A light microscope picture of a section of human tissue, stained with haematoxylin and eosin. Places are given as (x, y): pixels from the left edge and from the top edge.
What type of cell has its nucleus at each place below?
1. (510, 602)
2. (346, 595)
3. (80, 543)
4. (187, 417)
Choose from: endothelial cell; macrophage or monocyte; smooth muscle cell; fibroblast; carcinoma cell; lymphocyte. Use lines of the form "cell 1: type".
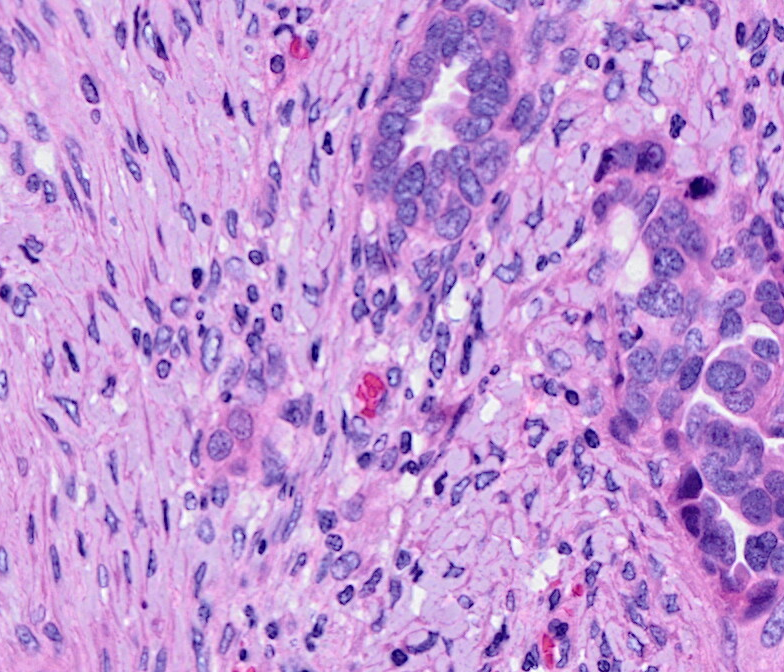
cell 1: fibroblast
cell 2: lymphocyte
cell 3: fibroblast
cell 4: fibroblast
